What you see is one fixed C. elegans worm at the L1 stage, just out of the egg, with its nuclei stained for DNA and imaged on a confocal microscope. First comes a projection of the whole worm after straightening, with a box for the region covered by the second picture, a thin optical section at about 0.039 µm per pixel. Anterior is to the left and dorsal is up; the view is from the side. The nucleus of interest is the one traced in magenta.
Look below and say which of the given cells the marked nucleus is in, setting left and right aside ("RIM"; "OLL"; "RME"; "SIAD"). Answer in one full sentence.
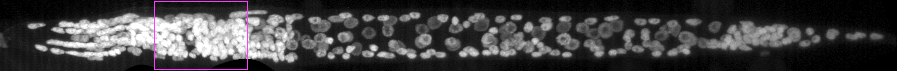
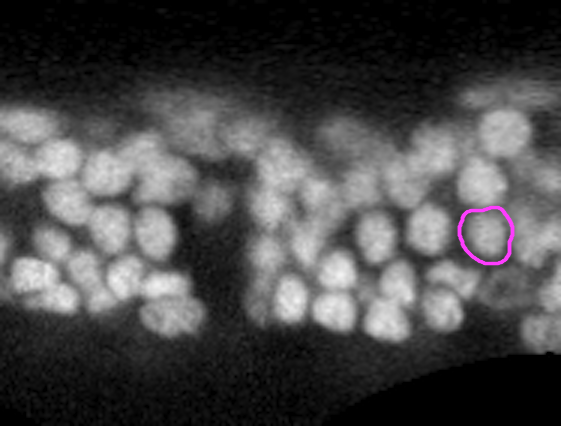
The marked cell is RIM, a neuron.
